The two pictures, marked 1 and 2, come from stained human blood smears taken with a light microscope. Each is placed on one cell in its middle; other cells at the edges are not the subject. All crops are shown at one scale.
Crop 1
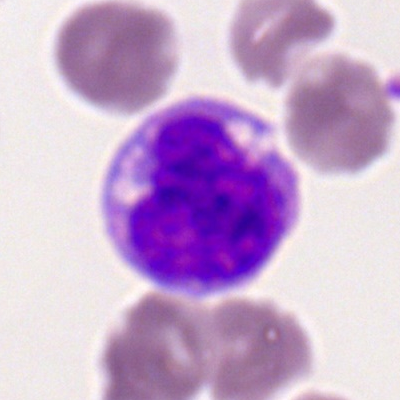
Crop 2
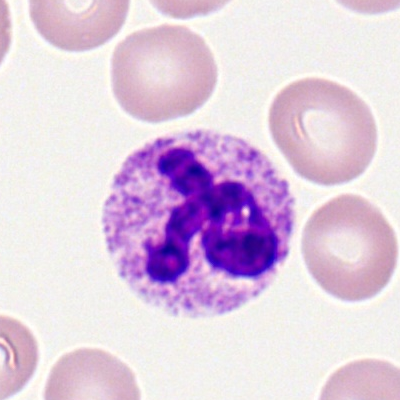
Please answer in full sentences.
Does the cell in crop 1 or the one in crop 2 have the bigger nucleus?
It is the nucleus in crop 1, about 2 times as large in area as the one in crop 2.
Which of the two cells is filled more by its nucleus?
It is the cell in crop 1 that is filled more by its nucleus.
